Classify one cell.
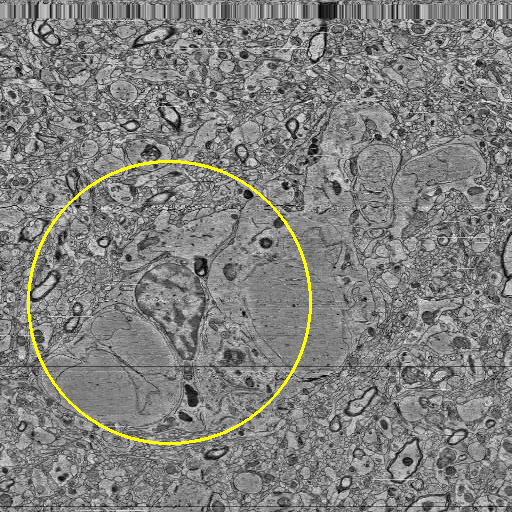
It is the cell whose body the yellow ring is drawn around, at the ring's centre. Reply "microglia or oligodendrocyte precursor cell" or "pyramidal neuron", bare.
microglia or oligodendrocyte precursor cell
